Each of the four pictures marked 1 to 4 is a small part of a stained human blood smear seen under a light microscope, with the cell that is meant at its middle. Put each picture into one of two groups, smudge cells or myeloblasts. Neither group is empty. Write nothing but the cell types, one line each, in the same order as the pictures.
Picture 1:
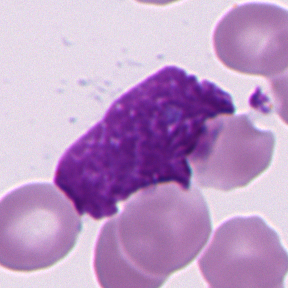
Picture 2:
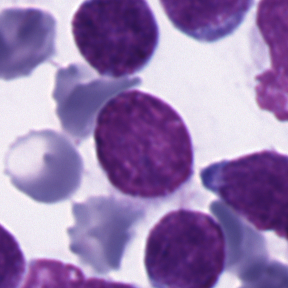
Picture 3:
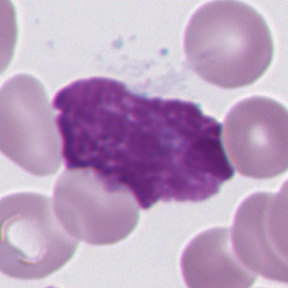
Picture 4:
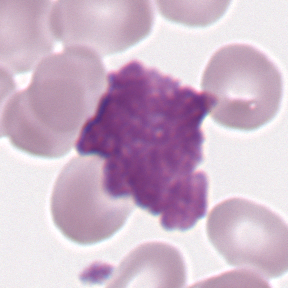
smudge cell
myeloblast
smudge cell
smudge cell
